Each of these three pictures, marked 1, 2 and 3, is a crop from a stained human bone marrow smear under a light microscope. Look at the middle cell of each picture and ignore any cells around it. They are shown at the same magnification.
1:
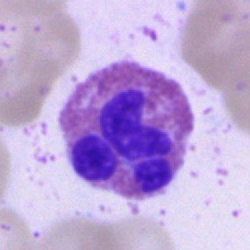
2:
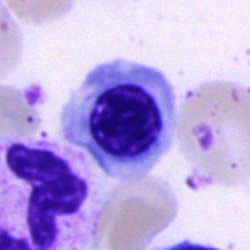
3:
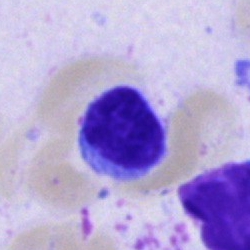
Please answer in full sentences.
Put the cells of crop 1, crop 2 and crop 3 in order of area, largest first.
From the largest down, the order is 1, 2, 3.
